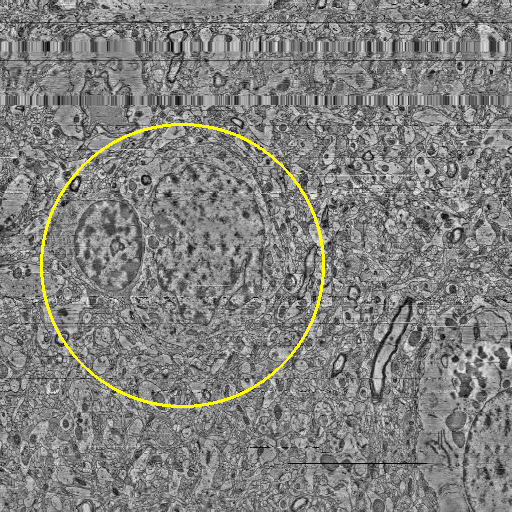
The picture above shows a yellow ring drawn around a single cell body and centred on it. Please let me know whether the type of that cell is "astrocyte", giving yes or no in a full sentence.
No, the cell at the centre of the ring above has a different type.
